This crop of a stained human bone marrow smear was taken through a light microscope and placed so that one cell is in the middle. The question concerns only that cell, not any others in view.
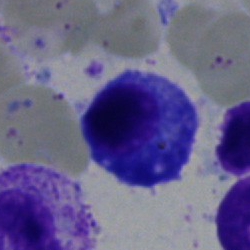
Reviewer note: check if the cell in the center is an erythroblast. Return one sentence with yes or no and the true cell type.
No, the cell positioned in the middle is a plasma cell, not an erythroblast.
